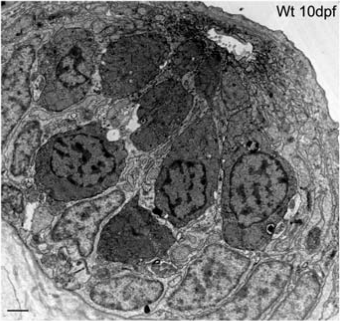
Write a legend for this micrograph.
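Transmission electron micrograph of a lateral line neuromast showing a cluster of electron-dense hair cells with large rounded nuclei and clumped chromatin, their narrow apical ends converging toward the surface of the organ. Paler supporting cells with oval nuclei surround the hair cells and line the base of the neuromast.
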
